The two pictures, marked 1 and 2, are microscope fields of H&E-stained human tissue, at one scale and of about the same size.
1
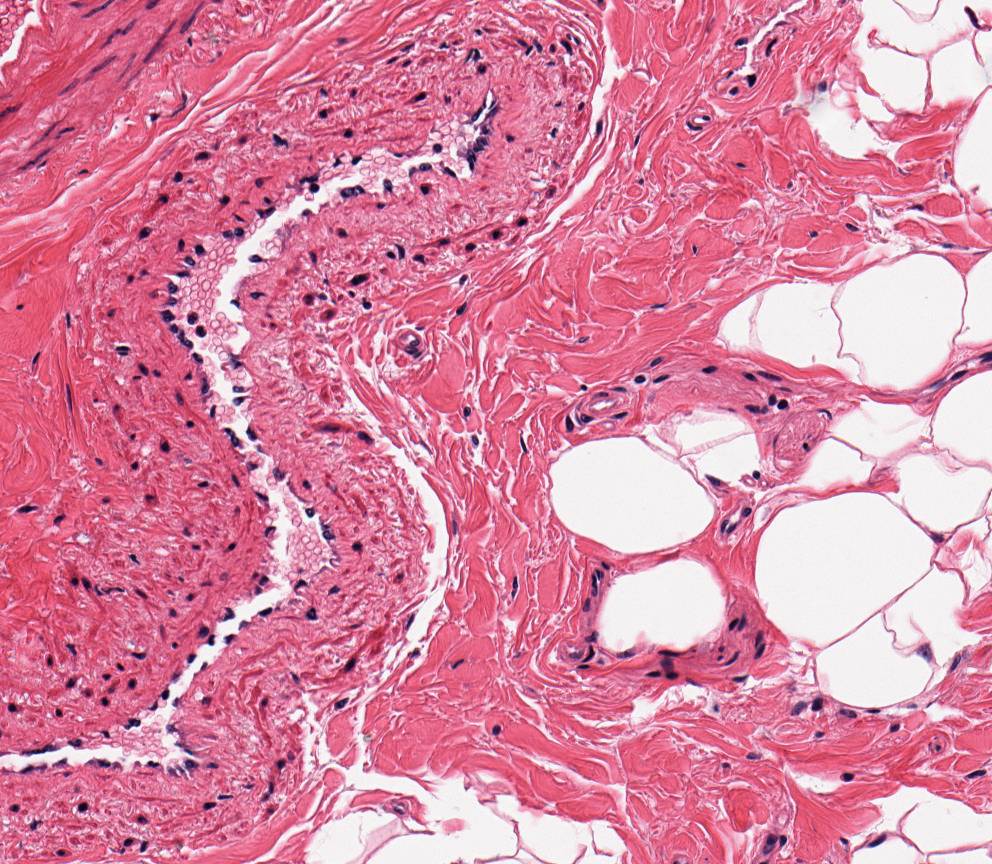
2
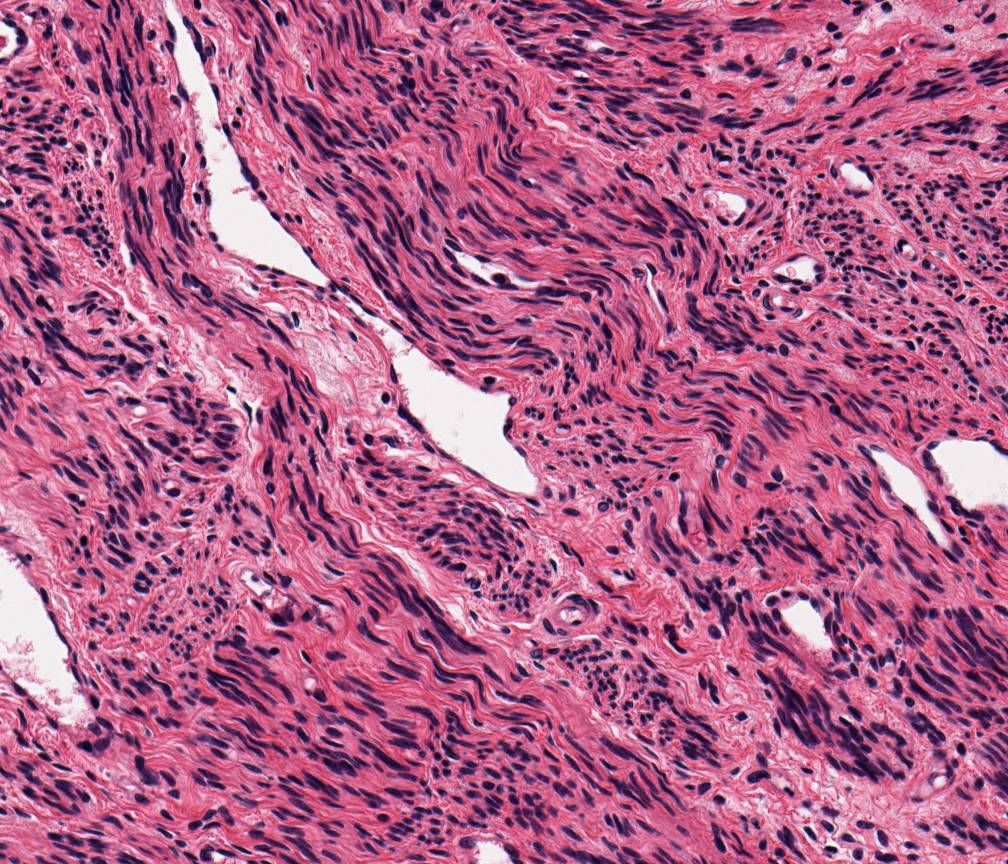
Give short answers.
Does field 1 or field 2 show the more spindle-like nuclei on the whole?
2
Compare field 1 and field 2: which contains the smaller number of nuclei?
1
